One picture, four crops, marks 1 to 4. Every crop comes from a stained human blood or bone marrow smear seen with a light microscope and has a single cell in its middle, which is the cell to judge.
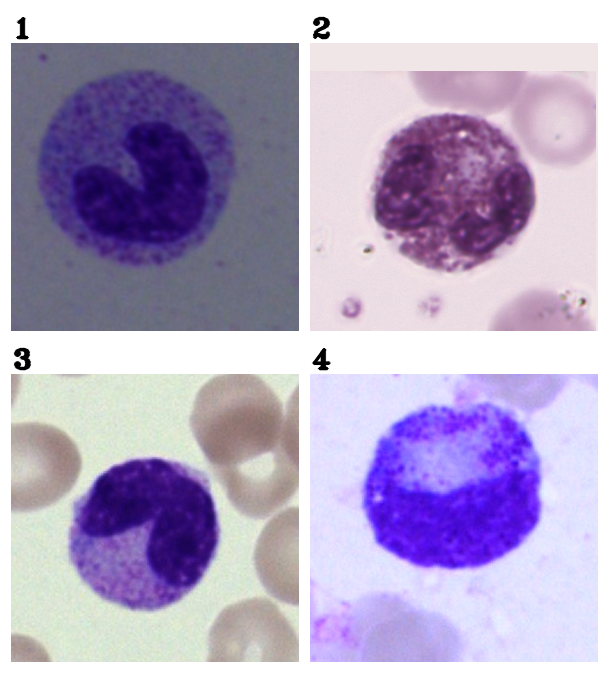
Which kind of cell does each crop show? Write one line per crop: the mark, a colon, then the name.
1: band neutrophil
2: eosinophil
3: metamyelocyte
4: metamyelocyte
